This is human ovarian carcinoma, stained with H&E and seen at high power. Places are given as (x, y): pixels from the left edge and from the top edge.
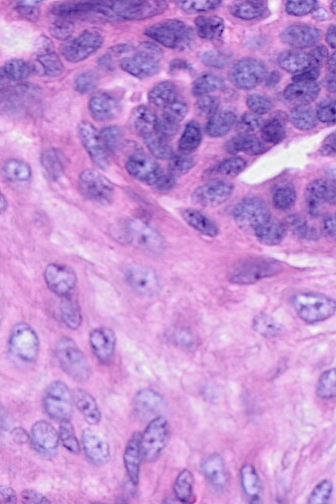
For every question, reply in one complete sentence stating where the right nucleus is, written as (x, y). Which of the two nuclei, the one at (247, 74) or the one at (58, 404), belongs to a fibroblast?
It is the nucleus at (58, 404), not the other one, that belongs to a fibroblast.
